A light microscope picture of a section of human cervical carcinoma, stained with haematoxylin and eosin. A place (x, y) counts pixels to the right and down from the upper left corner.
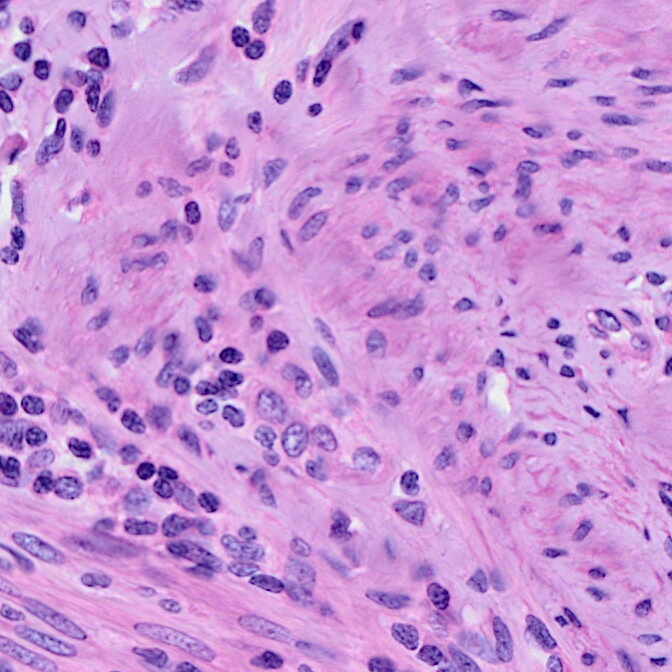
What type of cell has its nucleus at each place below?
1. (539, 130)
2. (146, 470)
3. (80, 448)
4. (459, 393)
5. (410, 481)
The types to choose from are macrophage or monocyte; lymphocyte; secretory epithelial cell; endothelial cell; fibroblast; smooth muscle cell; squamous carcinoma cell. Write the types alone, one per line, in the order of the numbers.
smooth muscle cell
lymphocyte
lymphocyte
smooth muscle cell
lymphocyte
